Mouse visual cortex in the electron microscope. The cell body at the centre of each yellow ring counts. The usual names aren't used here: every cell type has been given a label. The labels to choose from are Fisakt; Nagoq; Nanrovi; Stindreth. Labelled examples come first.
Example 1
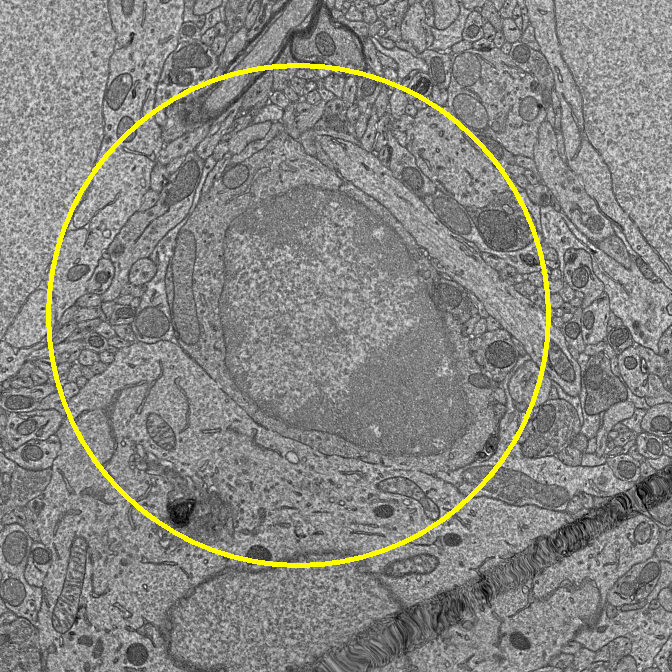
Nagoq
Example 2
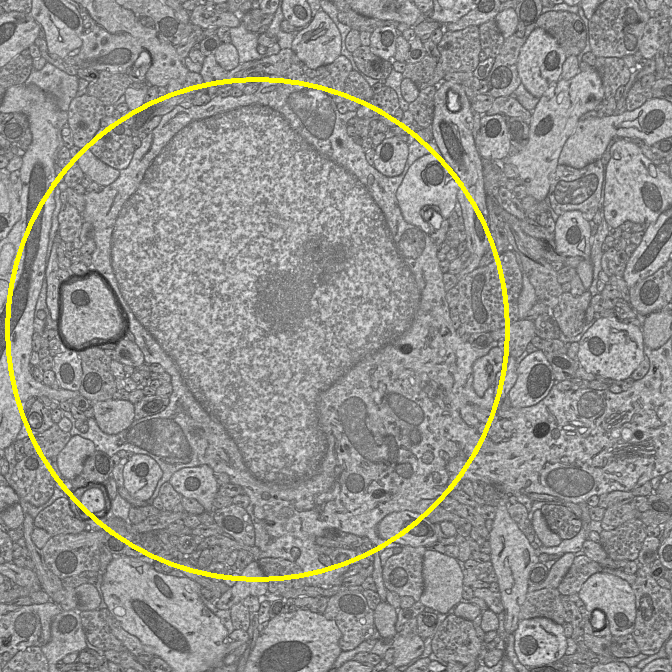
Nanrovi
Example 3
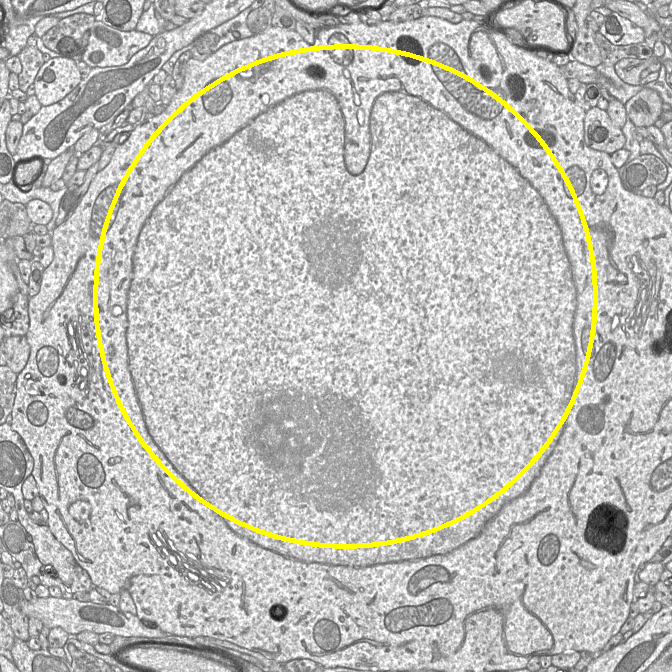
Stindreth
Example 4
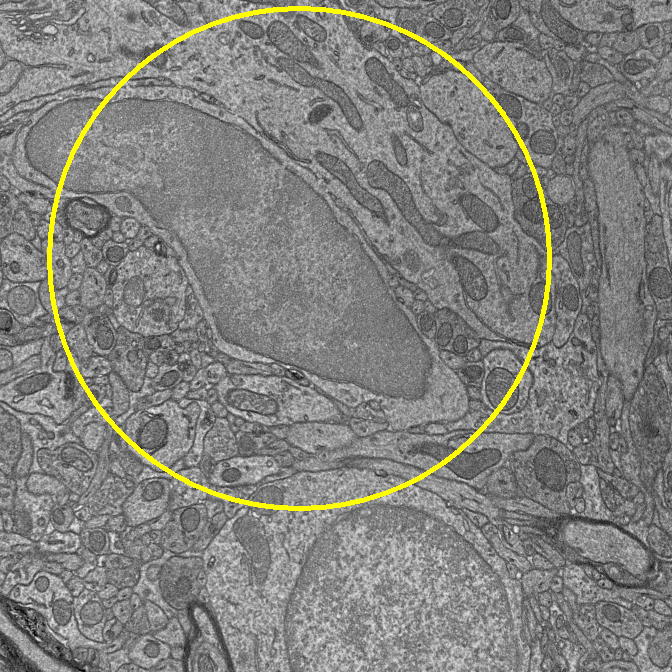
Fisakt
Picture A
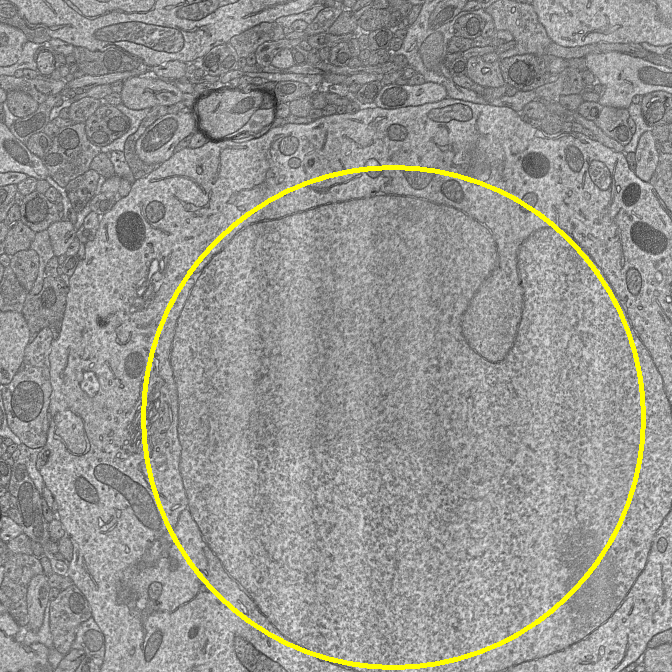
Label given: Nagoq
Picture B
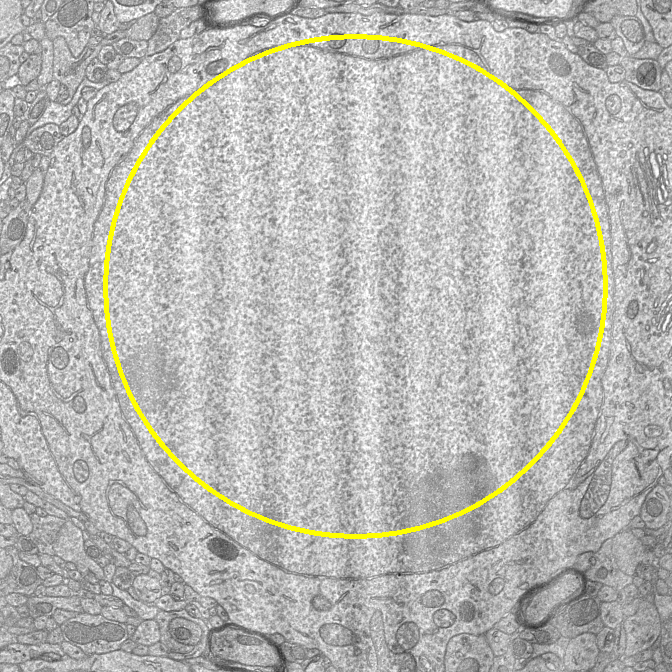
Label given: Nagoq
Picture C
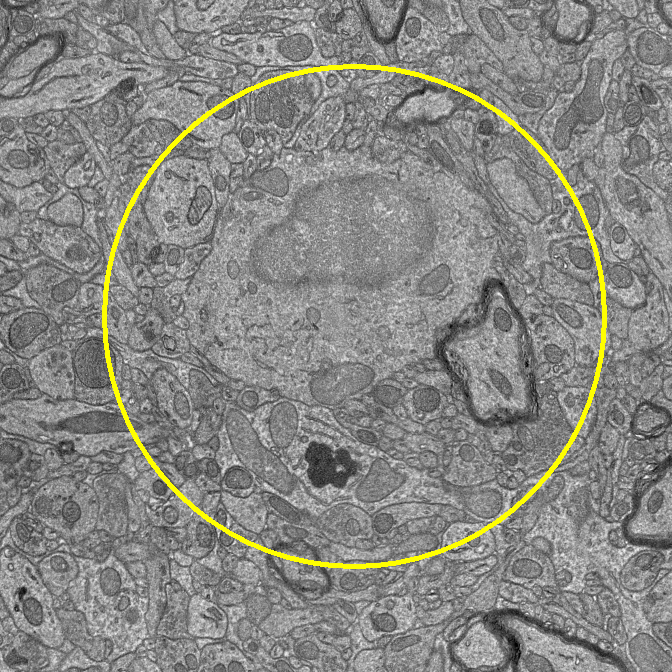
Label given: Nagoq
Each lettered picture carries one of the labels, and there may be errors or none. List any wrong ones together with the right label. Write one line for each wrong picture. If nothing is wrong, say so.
A: not Nagoq but Stindreth
B: not Nagoq but Stindreth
